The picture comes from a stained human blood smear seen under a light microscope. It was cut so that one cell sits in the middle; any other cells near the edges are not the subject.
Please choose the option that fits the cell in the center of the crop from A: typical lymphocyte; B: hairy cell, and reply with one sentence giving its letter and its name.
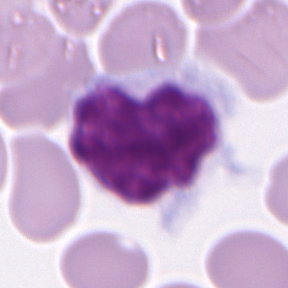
The one to choose is option B, as the cell in the middle is a hairy cell.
